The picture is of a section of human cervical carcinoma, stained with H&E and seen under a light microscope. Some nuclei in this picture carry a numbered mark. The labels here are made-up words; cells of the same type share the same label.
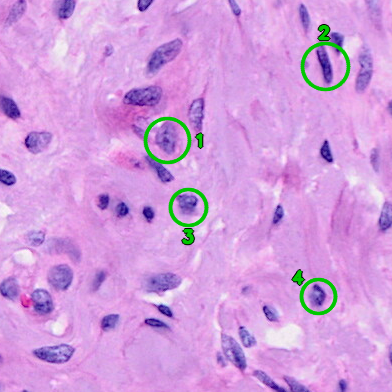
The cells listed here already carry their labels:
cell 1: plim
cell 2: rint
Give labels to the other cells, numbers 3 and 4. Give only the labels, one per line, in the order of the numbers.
rint
rint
